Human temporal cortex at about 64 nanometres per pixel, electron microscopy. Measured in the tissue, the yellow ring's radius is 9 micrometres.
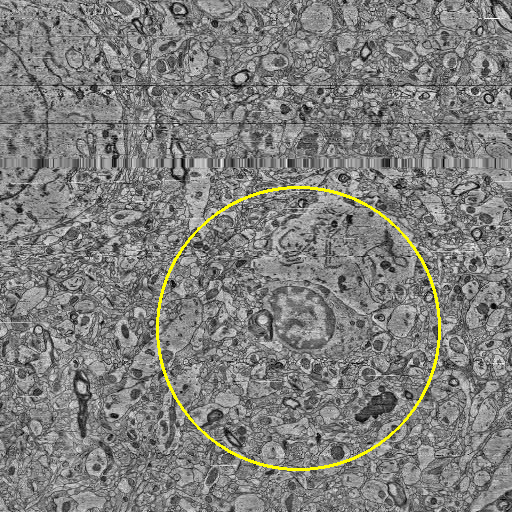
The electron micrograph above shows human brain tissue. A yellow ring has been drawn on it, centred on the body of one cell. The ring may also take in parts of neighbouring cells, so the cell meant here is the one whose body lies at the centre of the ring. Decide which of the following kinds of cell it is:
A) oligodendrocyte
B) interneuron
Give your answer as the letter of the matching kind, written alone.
A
